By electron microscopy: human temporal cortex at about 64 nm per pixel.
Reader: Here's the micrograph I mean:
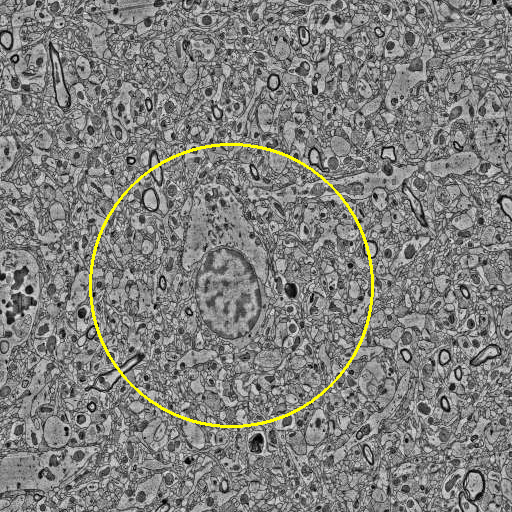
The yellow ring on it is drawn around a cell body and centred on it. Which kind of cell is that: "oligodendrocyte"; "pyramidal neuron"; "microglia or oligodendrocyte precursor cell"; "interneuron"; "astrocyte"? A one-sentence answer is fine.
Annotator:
The ring is centred on an oligodendrocyte.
